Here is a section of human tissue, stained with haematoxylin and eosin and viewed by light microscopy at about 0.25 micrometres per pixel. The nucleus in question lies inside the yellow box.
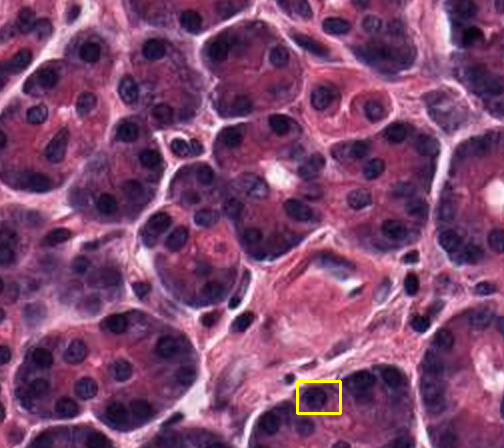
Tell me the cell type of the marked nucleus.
pancreatic acinar cell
